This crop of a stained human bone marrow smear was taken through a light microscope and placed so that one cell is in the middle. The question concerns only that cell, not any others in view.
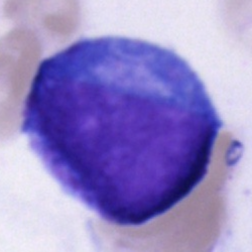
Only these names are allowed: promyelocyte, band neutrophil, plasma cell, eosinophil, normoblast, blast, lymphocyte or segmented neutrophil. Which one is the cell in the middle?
blast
